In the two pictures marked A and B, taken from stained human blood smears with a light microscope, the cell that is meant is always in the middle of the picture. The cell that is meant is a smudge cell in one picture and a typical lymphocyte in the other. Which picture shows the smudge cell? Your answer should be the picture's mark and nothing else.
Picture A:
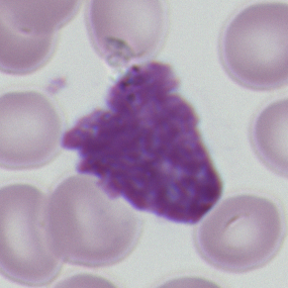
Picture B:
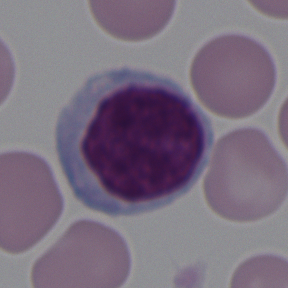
A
